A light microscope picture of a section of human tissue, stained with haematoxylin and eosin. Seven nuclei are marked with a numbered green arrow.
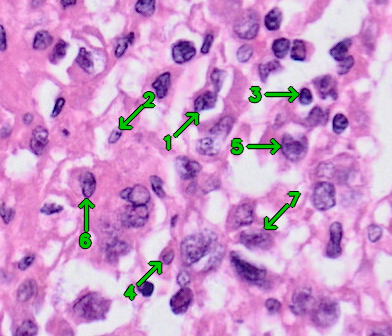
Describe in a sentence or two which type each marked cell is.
Cell 1 is a melanoma cell, cell 2 is a macrophage or monocyte, cell 3 is a lymphocyte, cell 4 is a macrophage or monocyte, cell 5 is a melanoma cell, cell 6 is a macrophage or monocyte and cell 7 is a melanoma cell.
